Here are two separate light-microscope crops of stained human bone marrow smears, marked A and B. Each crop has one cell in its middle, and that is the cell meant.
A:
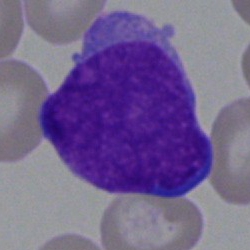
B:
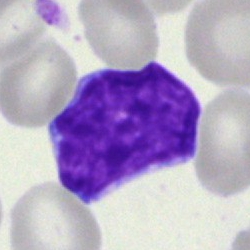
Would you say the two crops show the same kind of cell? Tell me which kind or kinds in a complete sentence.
Yes, for both crops, the central cells are blasts.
